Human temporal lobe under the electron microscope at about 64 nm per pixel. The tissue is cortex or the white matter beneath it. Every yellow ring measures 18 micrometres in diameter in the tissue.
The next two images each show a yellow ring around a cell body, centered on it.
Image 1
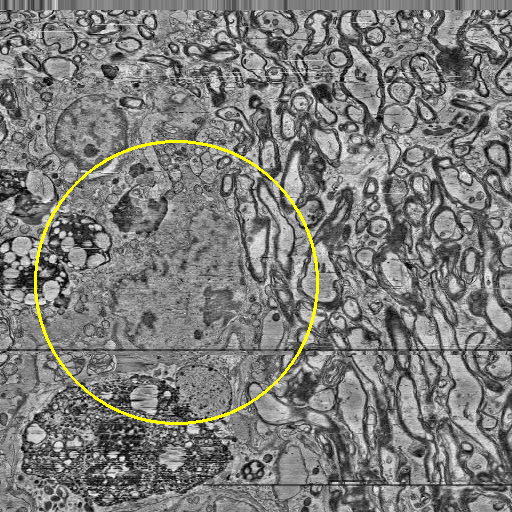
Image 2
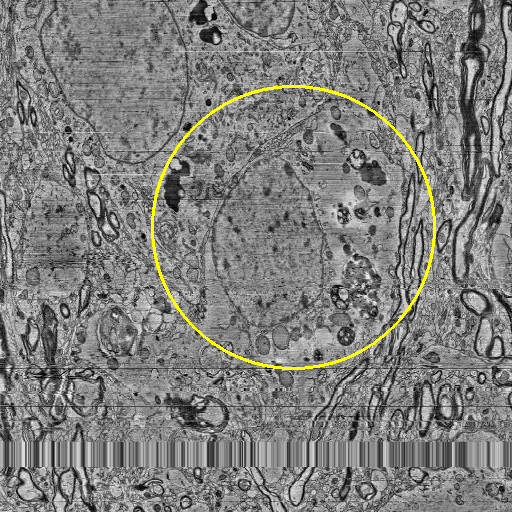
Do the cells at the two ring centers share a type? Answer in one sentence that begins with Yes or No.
Yes, across the two images the cells at the ring centers share one type.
